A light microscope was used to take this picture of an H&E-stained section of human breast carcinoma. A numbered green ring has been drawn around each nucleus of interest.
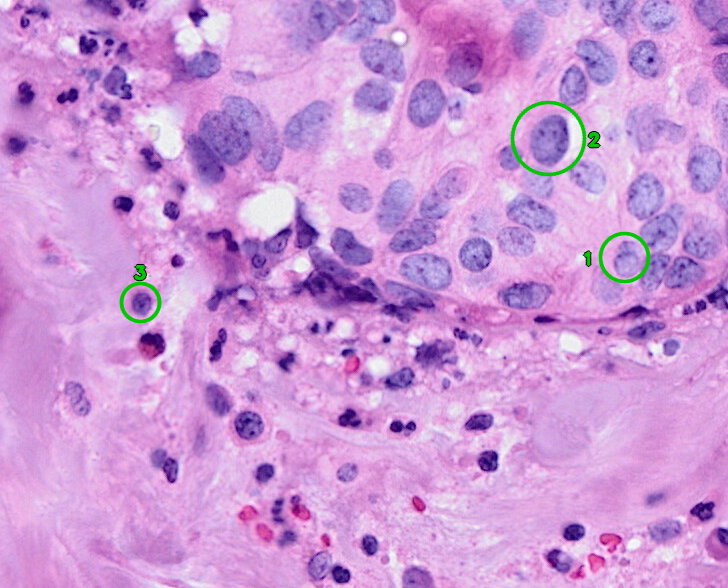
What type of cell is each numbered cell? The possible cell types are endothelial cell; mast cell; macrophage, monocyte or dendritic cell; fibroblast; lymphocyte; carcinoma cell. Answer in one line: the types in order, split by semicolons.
carcinoma cell; carcinoma cell; mast cell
